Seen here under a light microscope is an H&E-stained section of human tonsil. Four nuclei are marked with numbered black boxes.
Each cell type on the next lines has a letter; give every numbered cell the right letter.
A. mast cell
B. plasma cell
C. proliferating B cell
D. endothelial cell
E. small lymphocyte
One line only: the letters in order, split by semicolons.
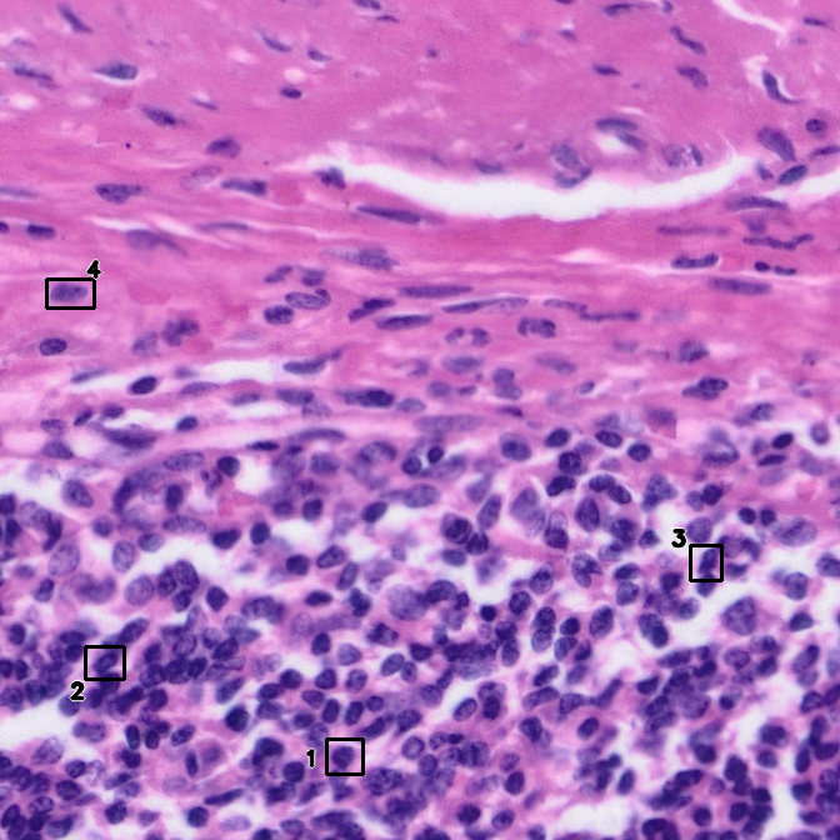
E; E; E; A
